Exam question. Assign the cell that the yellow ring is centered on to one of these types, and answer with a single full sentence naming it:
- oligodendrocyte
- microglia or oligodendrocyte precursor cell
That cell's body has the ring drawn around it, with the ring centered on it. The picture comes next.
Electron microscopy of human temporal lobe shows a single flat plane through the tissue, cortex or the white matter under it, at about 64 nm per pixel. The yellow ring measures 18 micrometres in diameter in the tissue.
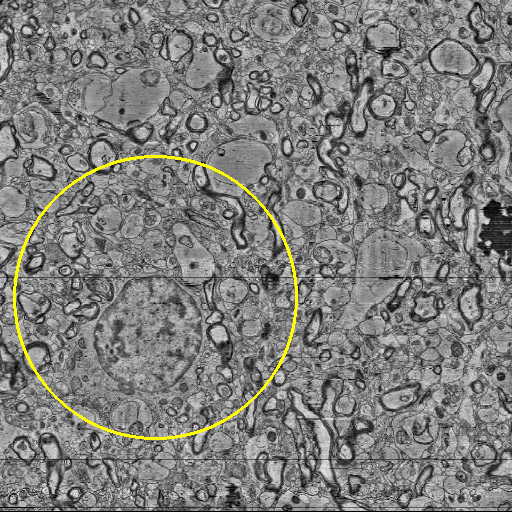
In the micrograph, the cell the yellow ring is centered on is an oligodendrocyte.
